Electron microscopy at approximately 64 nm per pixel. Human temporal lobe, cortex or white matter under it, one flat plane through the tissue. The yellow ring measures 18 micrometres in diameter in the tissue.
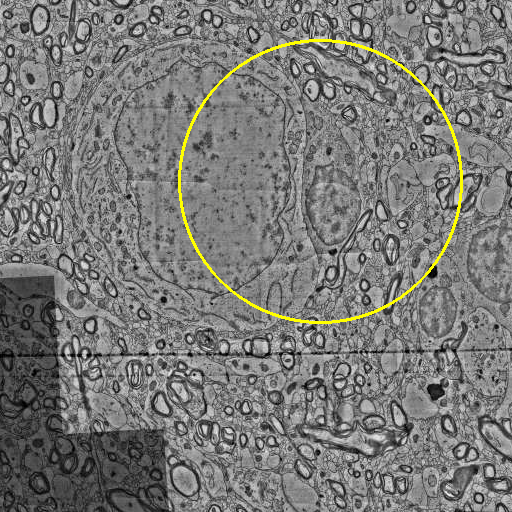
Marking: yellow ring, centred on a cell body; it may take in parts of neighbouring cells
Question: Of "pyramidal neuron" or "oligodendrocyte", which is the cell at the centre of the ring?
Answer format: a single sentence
The ring surrounds the body of an oligodendrocyte.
